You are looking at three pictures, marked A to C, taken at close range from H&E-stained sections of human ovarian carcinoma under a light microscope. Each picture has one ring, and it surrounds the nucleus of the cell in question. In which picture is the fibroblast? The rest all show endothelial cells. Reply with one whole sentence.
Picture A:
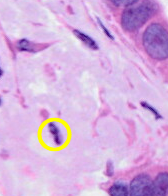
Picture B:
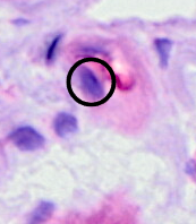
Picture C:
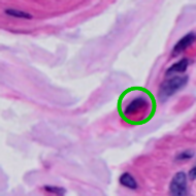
Picture A shows the fibroblast.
